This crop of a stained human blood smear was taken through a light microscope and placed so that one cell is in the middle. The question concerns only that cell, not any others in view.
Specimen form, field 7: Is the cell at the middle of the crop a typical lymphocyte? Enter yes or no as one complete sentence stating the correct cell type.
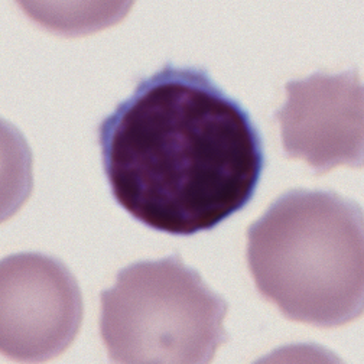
Yes, the central cell is to be recorded as a typical lymphocyte.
